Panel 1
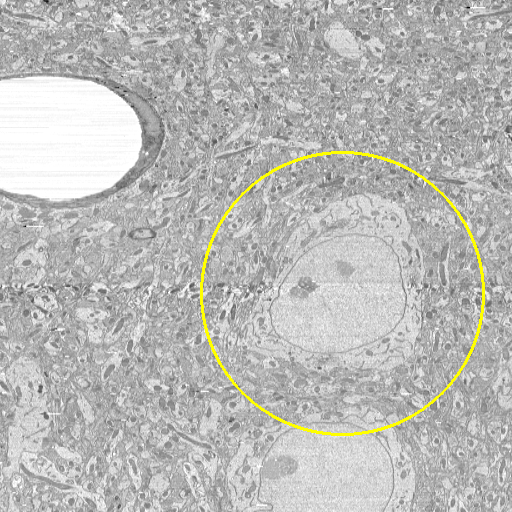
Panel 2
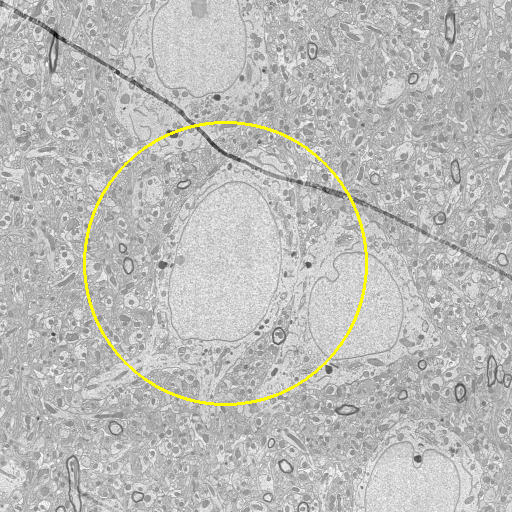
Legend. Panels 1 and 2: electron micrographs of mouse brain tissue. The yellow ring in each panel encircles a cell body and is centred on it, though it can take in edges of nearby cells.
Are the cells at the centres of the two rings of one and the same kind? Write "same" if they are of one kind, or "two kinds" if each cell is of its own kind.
same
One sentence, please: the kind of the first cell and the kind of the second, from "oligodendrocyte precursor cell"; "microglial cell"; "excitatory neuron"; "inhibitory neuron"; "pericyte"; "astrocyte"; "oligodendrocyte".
Each of the two pictures has an excitatory neuron at the ring centre.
